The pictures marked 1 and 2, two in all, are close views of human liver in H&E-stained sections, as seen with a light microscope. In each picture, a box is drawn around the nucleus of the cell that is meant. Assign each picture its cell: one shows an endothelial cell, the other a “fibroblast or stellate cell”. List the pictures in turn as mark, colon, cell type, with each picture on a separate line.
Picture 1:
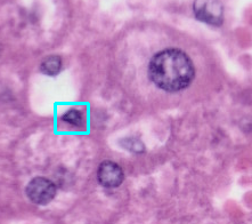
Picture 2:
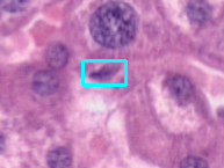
1: fibroblast or stellate cell
2: endothelial cell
